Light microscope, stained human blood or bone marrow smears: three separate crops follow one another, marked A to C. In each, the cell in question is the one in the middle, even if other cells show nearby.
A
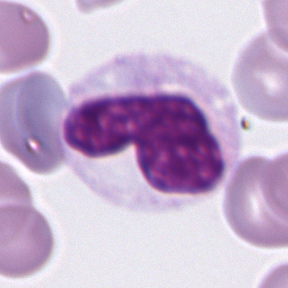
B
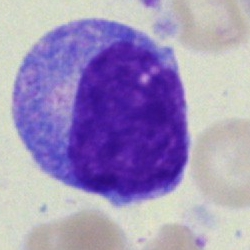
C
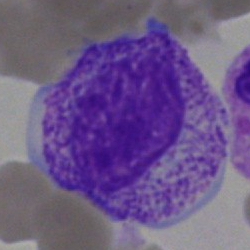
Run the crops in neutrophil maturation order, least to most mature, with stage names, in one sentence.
Along the maturation line, from least to most mature, sit crop B (a promyelocyte), crop C (a myelocyte) and crop A (a band neutrophil).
